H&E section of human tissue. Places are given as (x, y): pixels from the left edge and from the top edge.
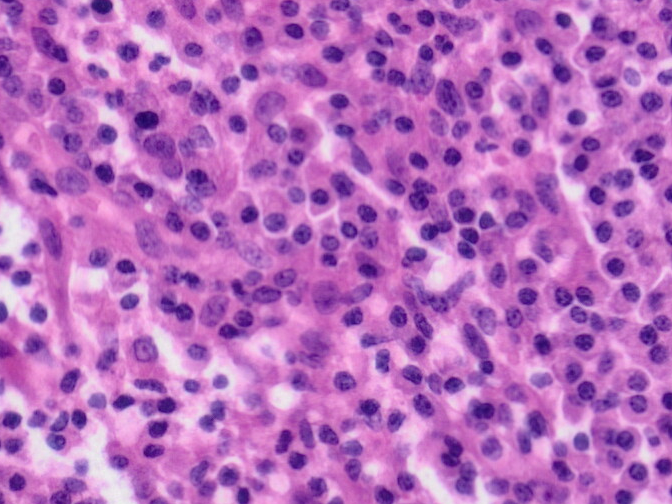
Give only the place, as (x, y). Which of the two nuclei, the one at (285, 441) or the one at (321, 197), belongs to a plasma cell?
(321, 197)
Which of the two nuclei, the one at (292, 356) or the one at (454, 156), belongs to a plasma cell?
(454, 156)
